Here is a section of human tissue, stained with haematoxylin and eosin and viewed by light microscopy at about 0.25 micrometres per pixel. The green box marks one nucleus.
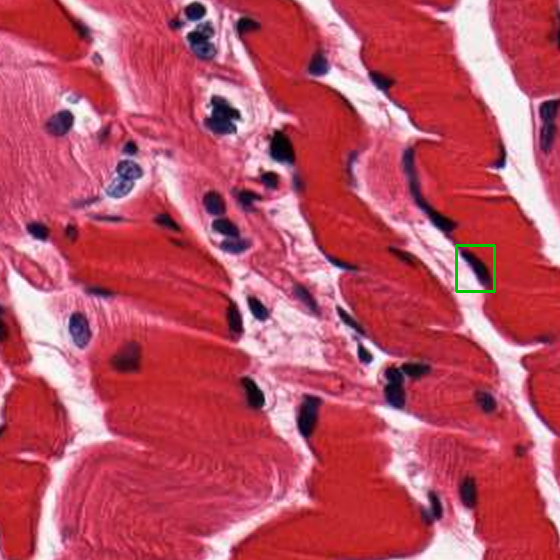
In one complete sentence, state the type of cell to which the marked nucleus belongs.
The nucleus picked out by the mark is that of a skeletal muscle fibre.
